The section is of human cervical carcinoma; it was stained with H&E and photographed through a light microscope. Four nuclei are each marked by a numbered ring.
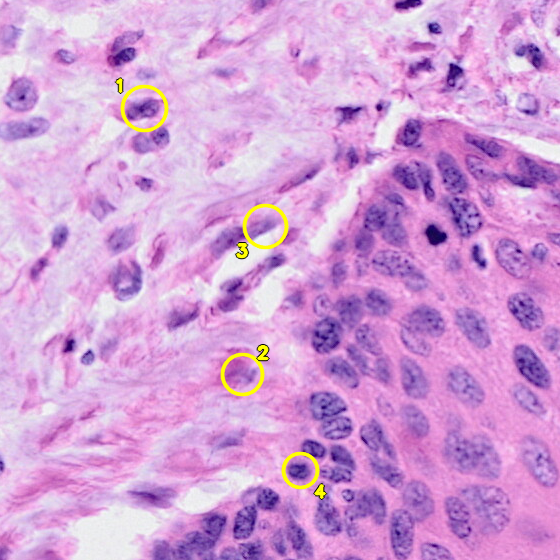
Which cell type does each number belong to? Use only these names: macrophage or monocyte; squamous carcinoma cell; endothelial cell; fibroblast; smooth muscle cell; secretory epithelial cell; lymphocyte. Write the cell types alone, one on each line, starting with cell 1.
macrophage or monocyte
fibroblast
fibroblast
squamous carcinoma cell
